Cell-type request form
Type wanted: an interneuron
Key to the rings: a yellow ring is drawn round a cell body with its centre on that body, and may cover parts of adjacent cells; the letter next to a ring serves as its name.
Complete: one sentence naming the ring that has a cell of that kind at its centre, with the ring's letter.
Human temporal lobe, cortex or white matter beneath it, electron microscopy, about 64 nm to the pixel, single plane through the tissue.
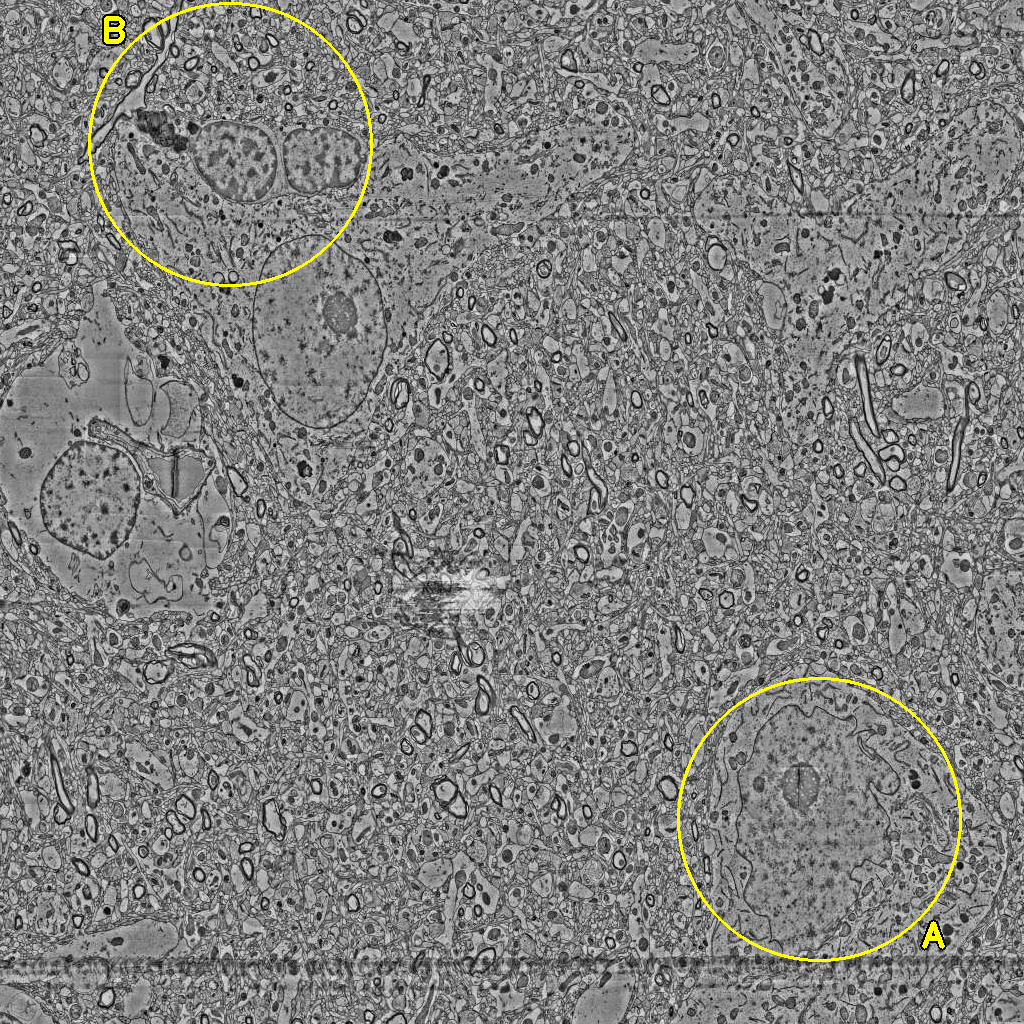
A cell of that kind sits at the centre of the ring labelled A.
